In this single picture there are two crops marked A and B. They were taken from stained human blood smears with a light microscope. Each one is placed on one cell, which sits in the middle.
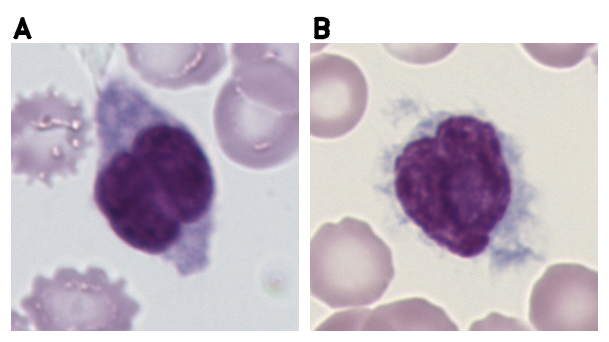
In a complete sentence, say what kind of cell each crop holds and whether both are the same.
Yes, both crops here show hairy cells, the pair of them.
